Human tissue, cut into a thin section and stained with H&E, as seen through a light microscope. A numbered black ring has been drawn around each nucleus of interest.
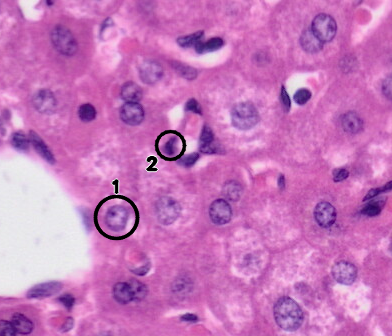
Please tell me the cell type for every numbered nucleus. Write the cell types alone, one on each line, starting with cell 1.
hepatocyte
fibroblast or stellate cell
